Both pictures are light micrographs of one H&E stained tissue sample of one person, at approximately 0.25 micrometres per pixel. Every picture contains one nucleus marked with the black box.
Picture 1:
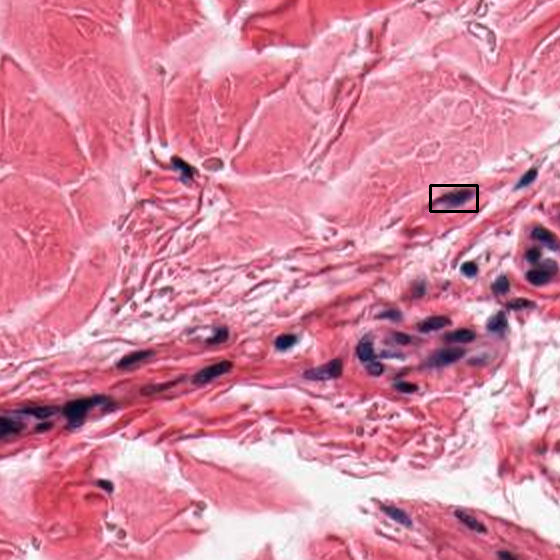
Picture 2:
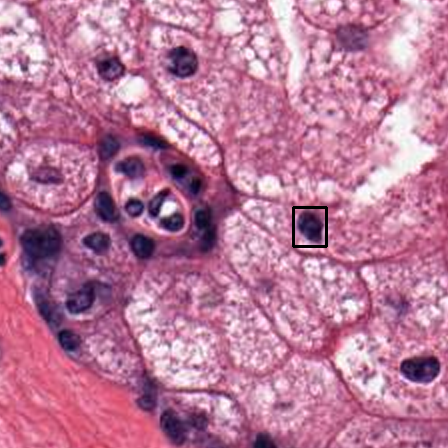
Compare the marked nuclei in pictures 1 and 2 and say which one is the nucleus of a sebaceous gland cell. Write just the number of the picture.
2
